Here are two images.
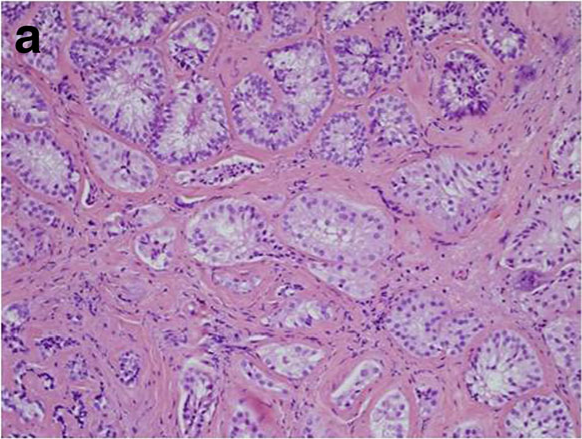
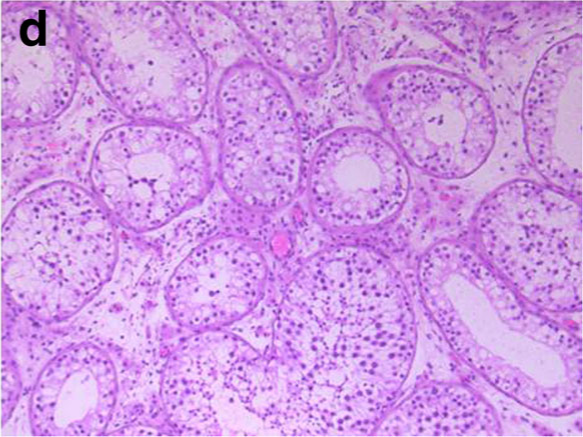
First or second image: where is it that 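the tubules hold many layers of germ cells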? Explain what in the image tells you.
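Second image: tubules are filled with stacked layers of cells of differing size up to the lumen. First image: tubules are lined by one kind of pale columnar cell with no layered germ cells. On this evidence: the second image.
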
